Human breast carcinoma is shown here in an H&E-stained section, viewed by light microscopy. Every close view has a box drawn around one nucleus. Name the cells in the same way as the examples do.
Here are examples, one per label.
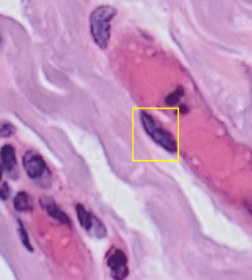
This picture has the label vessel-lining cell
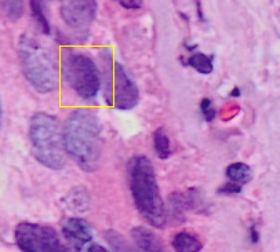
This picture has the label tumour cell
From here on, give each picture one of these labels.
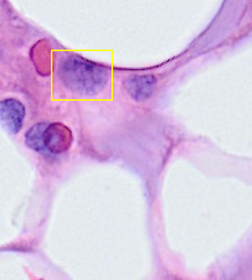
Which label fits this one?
vessel-lining cell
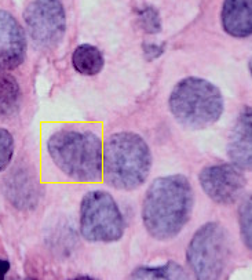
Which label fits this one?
tumour cell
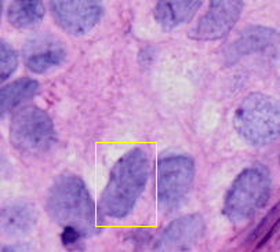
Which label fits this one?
tumour cell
